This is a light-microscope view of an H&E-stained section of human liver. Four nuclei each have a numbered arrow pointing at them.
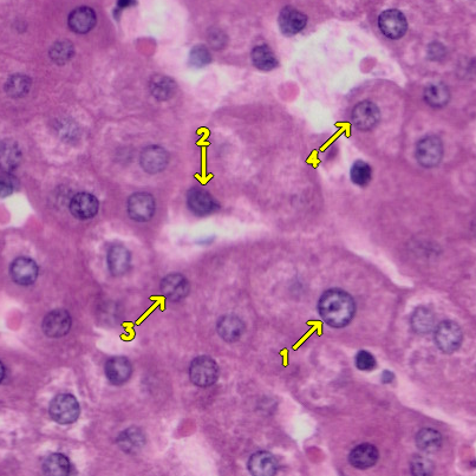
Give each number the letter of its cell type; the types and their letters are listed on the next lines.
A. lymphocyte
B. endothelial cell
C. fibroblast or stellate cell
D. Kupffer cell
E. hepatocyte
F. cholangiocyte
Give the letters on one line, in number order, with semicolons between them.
E; D; E; E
